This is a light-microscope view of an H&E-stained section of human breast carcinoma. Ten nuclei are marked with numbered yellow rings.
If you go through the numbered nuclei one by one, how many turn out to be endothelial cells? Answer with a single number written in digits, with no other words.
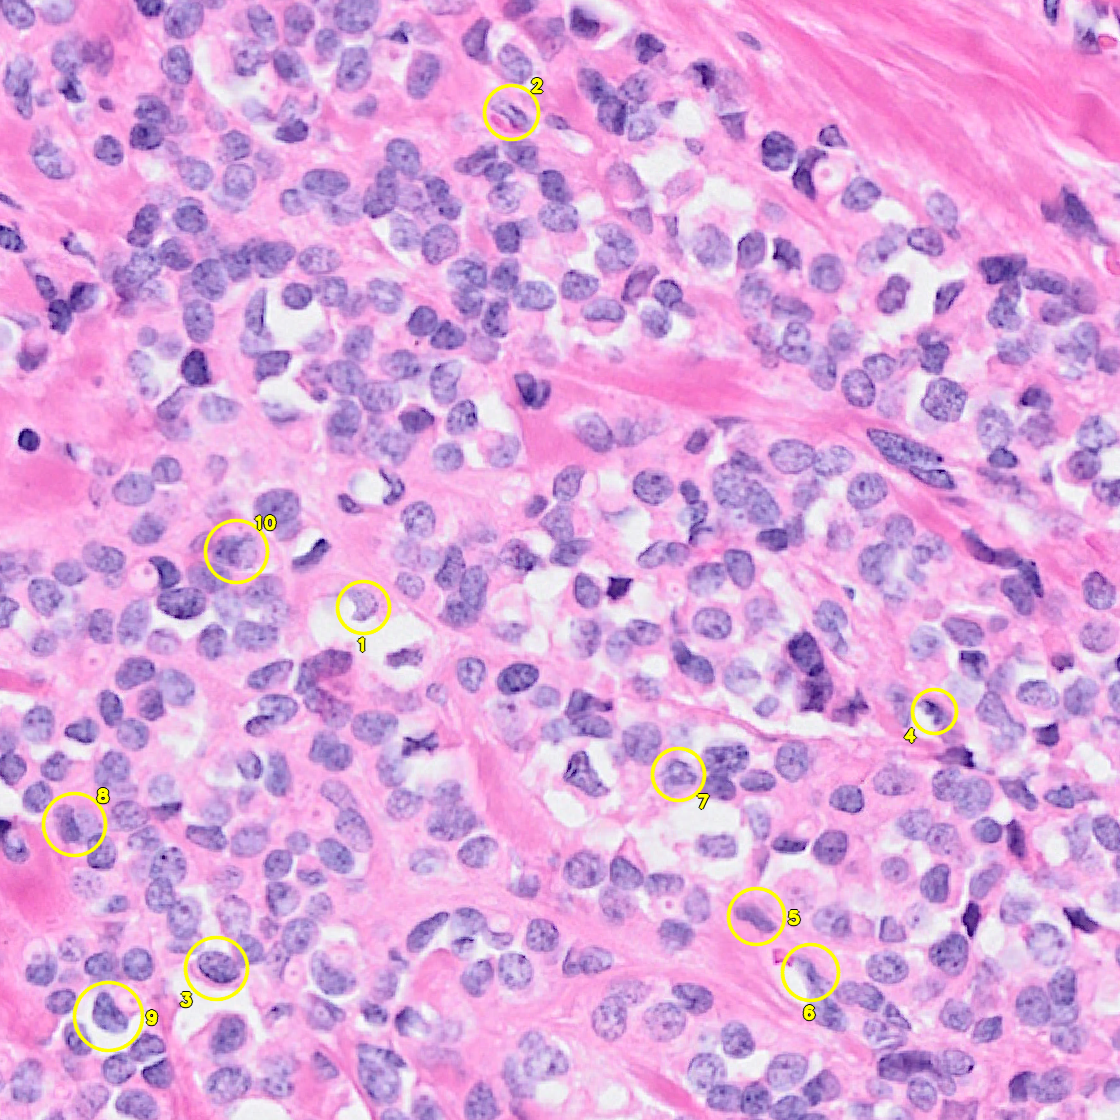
4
